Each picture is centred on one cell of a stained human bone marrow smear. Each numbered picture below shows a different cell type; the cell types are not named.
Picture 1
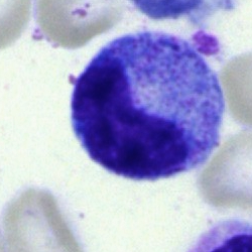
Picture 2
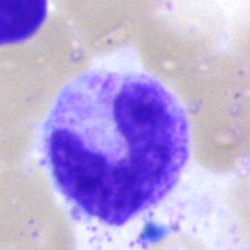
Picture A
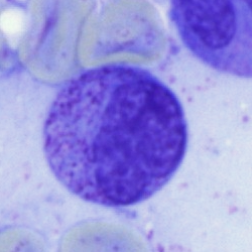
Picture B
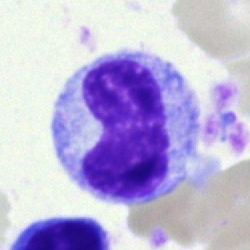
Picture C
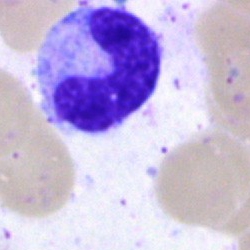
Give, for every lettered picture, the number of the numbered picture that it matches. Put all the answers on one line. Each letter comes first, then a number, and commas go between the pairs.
A 1, B 1, C 2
